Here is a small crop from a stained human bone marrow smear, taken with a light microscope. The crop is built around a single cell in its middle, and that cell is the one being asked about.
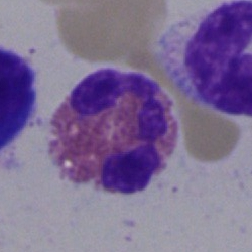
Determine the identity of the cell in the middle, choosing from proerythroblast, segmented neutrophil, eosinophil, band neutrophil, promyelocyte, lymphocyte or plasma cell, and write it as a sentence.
At the center of the crop sits an eosinophil.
